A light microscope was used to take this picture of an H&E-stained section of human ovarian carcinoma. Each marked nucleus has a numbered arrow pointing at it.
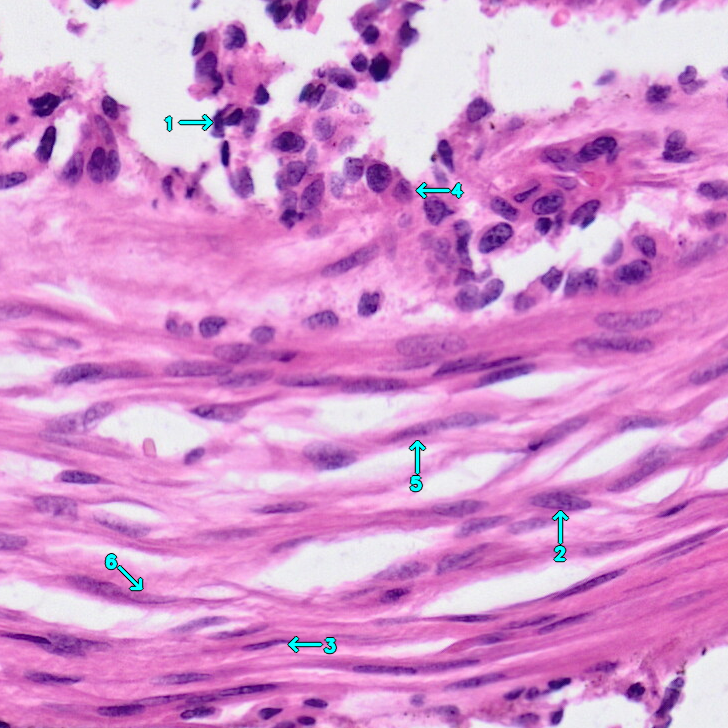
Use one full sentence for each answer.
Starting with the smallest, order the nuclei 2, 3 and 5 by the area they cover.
By area, going up from the smallest, they rank 3, 5, 2.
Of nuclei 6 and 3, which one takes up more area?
The larger nucleus is 6, at roughly 2 times the area of 3.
